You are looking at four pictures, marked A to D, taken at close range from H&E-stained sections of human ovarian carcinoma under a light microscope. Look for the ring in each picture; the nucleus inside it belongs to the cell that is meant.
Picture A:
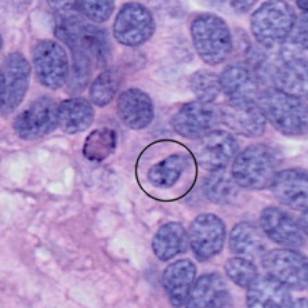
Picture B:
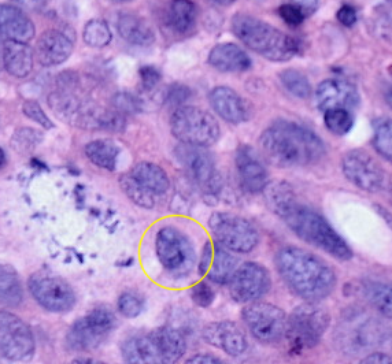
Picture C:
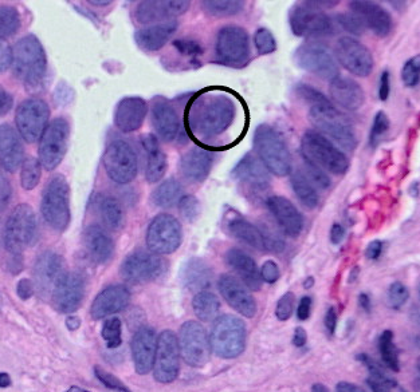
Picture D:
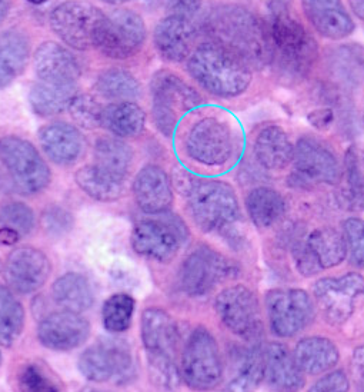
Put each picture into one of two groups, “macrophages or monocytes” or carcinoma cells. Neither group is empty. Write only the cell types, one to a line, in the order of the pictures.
macrophage or monocyte
macrophage or monocyte
carcinoma cell
carcinoma cell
